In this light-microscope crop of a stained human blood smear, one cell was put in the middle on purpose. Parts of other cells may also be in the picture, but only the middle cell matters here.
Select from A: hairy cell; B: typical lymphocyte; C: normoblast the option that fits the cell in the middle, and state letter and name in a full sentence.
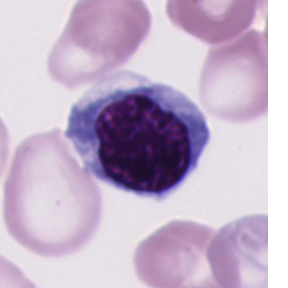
Since the middle cell is a normoblast, option C is the right one.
